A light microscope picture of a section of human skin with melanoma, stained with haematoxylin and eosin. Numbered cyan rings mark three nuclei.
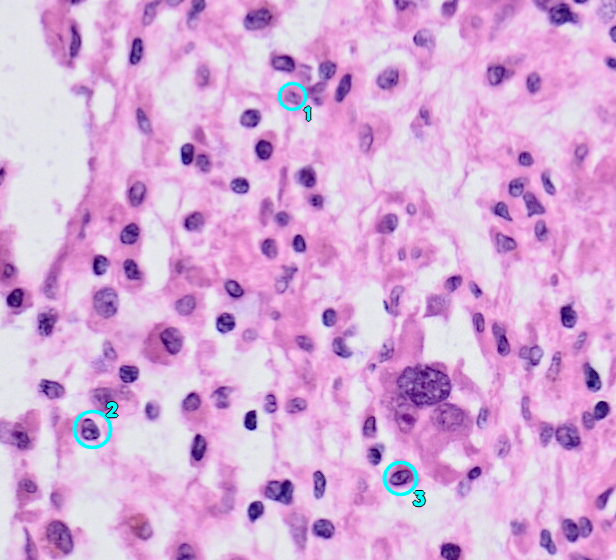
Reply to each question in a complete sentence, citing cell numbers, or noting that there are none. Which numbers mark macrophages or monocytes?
Classified as macrophages or monocytes are the cells numbered 1 and 3.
